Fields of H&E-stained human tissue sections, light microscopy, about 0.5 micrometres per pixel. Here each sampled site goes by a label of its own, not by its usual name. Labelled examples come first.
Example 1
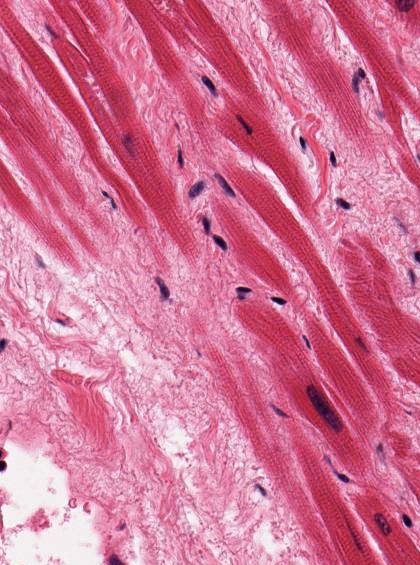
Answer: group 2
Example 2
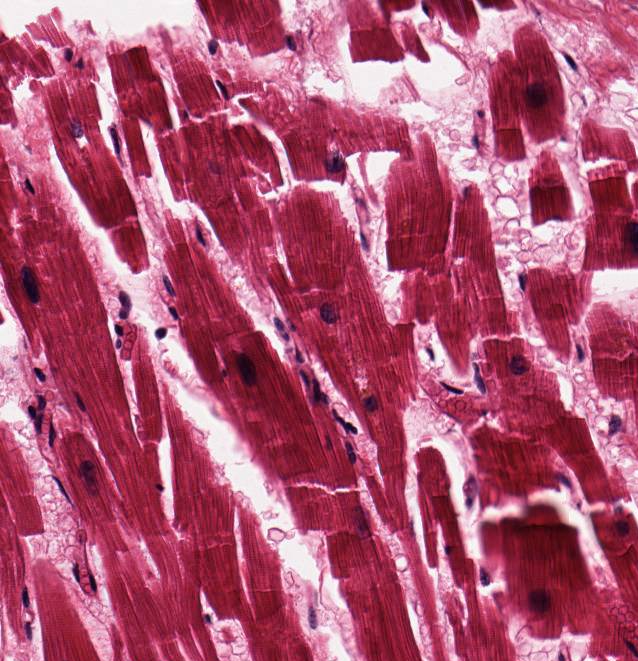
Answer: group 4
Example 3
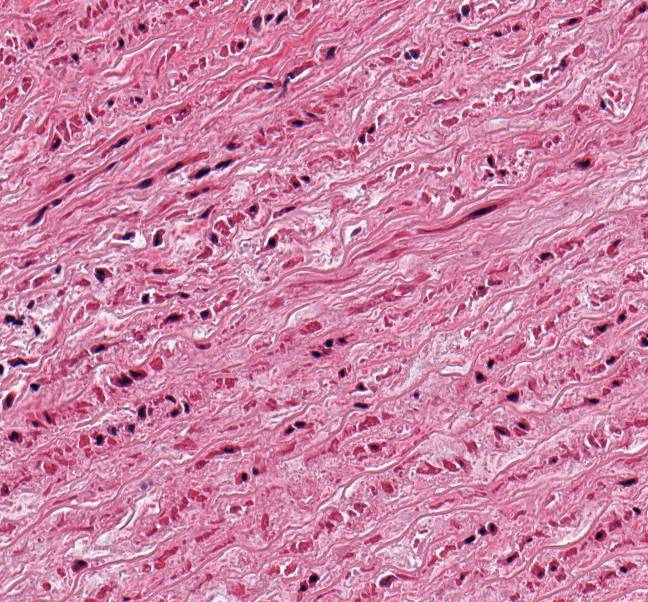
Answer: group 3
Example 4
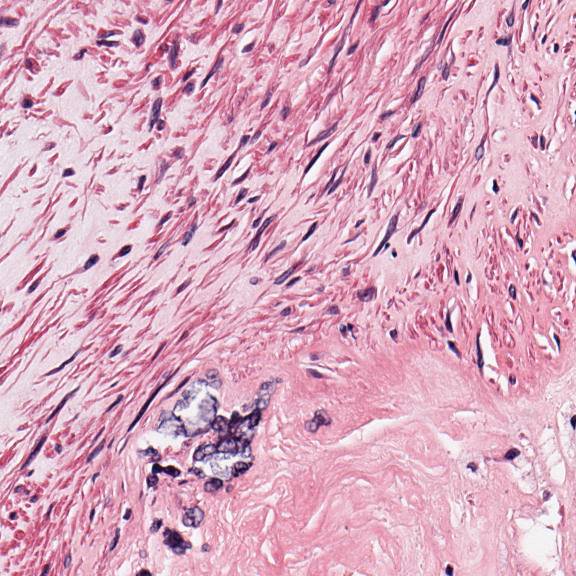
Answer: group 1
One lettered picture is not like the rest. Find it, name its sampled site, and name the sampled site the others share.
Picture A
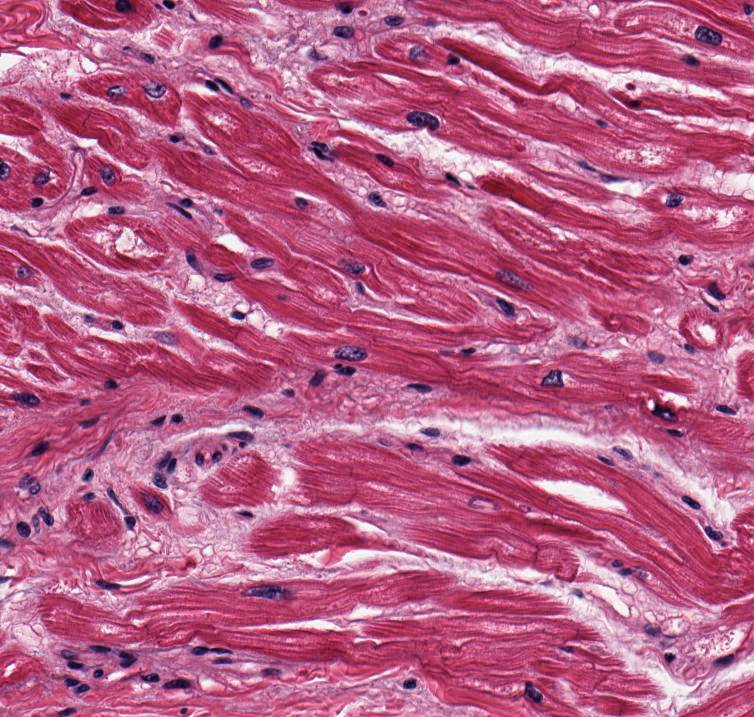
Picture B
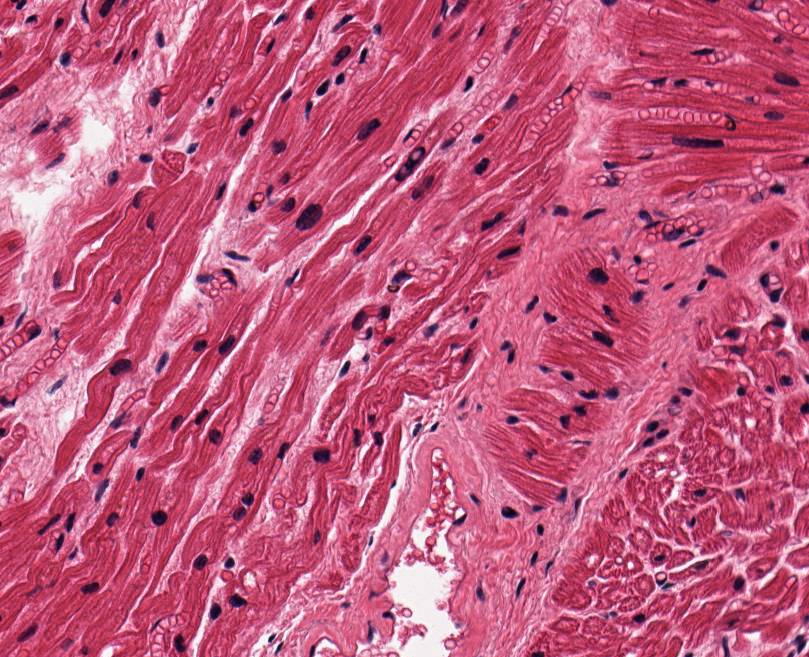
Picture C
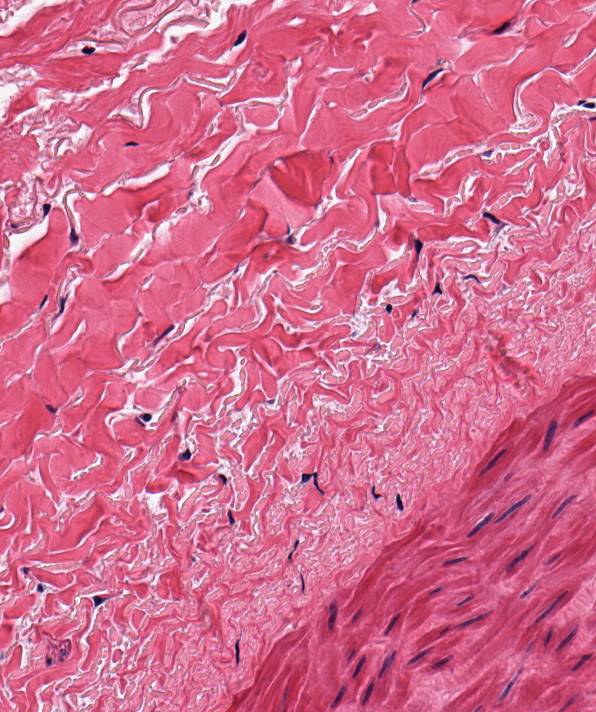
Odd one out: C (group 1). The rest: group 2.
